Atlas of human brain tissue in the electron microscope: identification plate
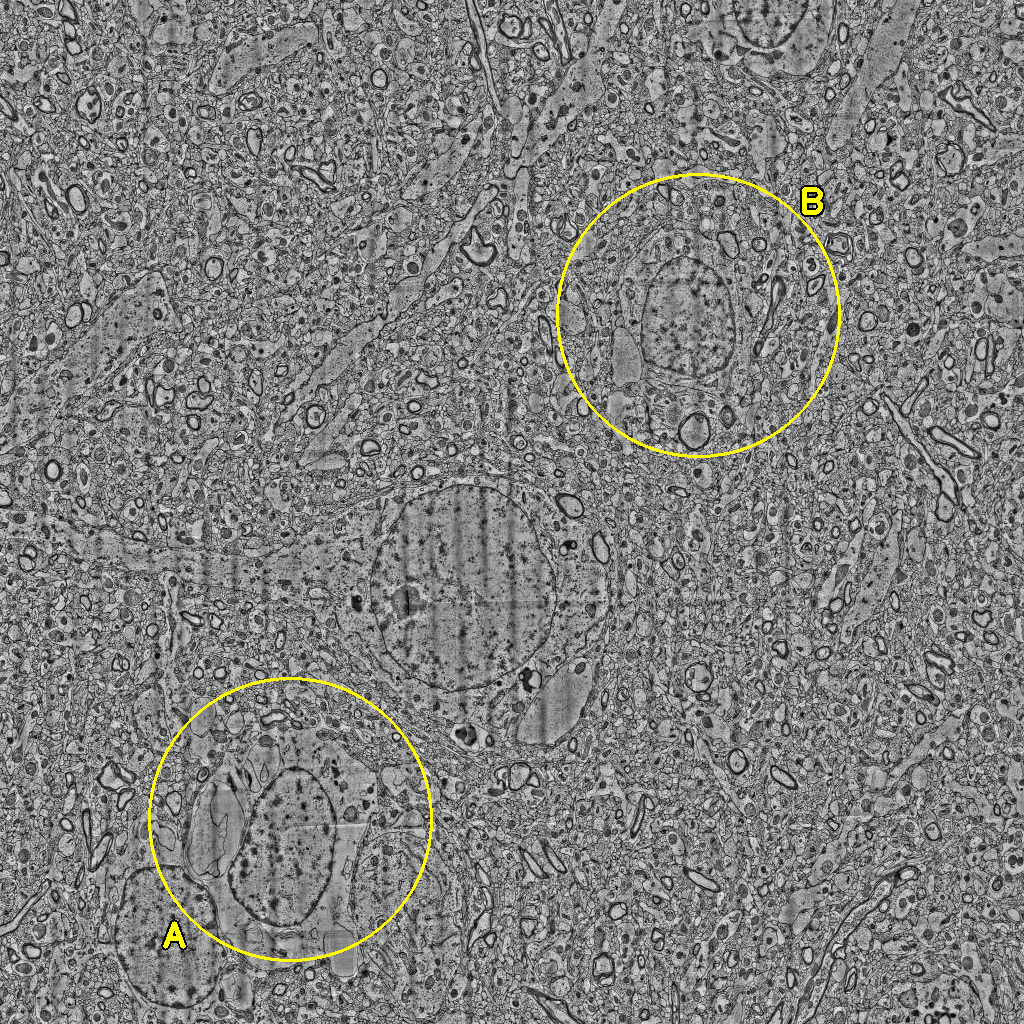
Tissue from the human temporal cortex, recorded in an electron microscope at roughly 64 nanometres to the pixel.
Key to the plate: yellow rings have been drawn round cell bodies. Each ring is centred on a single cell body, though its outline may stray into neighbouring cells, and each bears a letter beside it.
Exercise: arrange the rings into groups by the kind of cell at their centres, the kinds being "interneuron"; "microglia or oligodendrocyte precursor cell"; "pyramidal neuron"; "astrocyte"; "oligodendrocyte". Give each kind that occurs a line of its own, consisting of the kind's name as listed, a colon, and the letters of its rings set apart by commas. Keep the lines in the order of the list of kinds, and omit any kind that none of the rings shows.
interneuron: B
astrocyte: A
